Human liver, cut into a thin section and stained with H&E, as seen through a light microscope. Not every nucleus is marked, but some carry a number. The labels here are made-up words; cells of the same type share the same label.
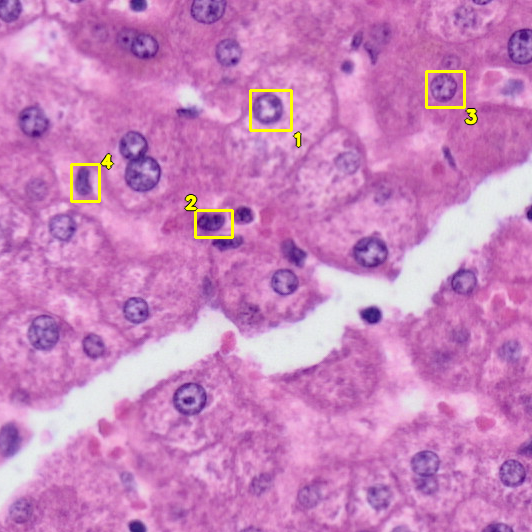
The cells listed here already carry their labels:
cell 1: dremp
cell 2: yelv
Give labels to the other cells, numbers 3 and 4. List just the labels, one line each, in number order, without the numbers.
dremp
yelv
